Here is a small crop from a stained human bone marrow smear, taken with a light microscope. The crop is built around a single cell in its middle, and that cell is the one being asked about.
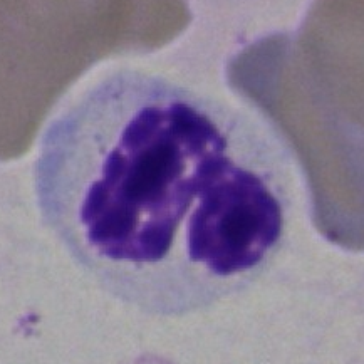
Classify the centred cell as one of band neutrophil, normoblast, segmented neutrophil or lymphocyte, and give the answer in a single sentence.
Looking at the middle of the crop, the cell there is a segmented neutrophil.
